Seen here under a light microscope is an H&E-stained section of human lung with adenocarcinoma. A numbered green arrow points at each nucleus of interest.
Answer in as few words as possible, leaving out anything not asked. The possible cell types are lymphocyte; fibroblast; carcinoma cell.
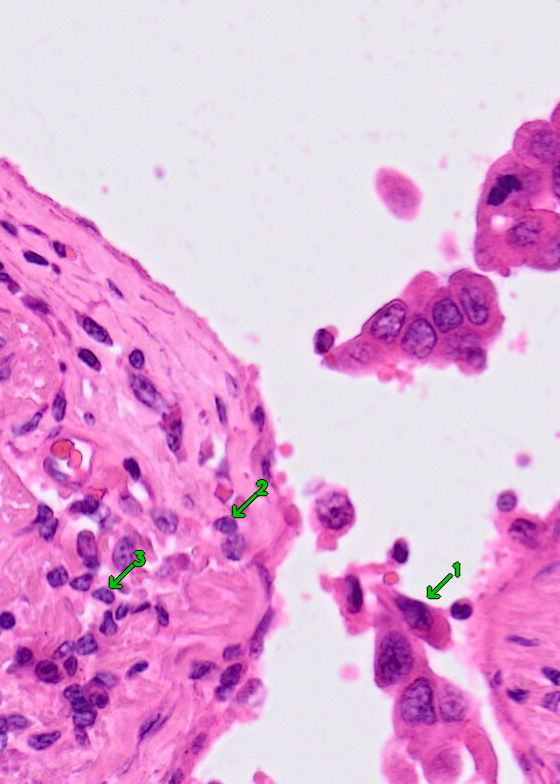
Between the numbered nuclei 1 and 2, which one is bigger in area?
1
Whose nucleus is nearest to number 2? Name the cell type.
fibroblast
